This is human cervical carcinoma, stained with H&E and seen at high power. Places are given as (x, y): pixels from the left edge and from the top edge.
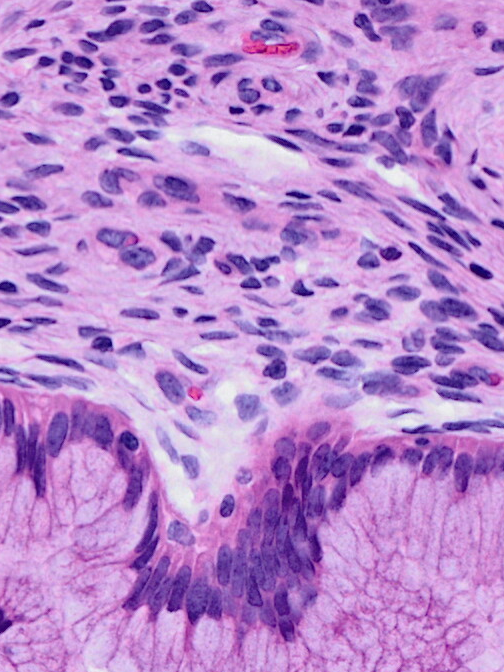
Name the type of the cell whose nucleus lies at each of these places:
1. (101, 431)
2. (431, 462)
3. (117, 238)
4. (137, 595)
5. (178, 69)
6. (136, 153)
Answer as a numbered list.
1. secretory epithelial cell
2. secretory epithelial cell
3. endothelial cell
4. secretory epithelial cell
5. fibroblast
6. fibroblast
